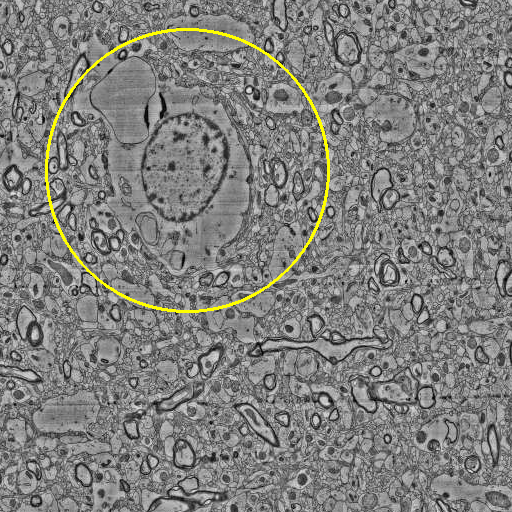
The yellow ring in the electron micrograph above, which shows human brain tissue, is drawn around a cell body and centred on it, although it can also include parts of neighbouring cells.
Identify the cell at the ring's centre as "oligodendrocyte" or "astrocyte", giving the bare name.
astrocyte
